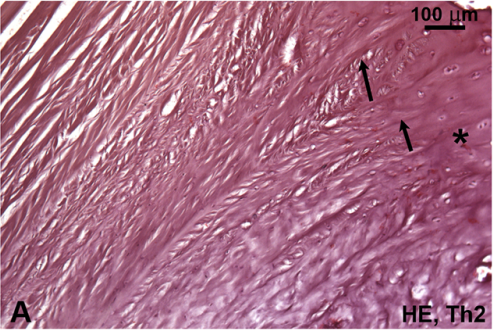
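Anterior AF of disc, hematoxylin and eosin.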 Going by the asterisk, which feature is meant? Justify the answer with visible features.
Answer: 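The asterisk lies in a denser, more homogeneous pink zone at the right edge. Fibers run toward and into this zone. So: endplate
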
